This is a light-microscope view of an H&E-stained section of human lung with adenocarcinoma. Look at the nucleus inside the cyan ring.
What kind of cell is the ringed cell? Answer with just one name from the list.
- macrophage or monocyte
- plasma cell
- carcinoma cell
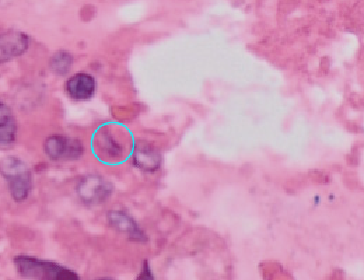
macrophage or monocyte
